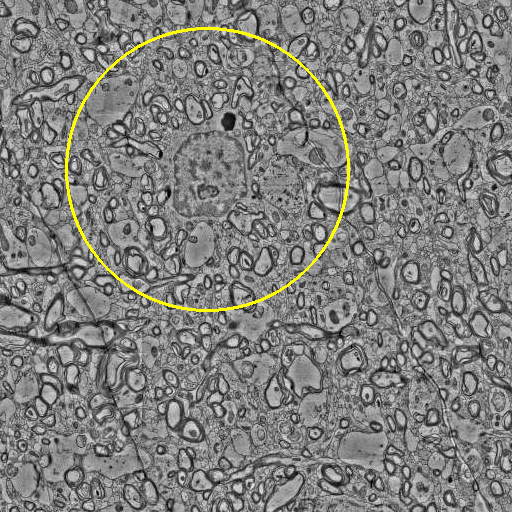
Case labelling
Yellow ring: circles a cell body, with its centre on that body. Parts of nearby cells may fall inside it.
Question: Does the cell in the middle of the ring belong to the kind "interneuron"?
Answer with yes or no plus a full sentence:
No, in this picture the cell in the middle of the yellow ring belongs to a different kind.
